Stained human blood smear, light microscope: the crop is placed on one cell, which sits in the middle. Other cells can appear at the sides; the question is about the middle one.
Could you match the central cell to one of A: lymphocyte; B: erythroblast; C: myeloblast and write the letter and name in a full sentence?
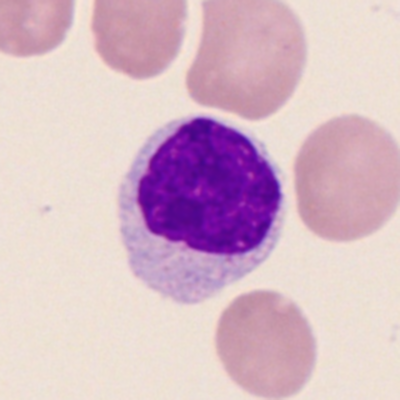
The cell centered in the crop is a lymphocyte, making option A the correct pick.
